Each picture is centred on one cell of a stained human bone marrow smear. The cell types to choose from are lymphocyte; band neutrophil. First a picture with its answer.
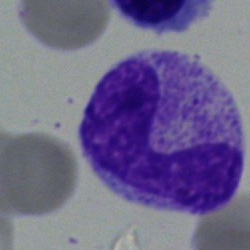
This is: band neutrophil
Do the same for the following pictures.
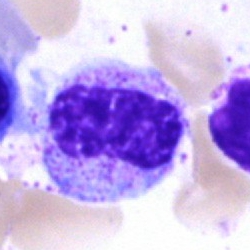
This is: band neutrophil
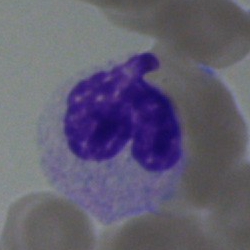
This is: band neutrophil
